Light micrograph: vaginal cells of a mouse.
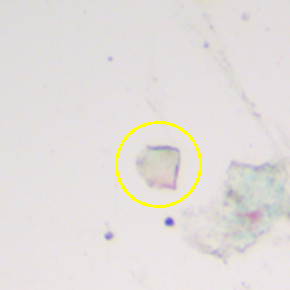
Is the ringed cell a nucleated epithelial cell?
No, it is a cornified epithelial cell.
